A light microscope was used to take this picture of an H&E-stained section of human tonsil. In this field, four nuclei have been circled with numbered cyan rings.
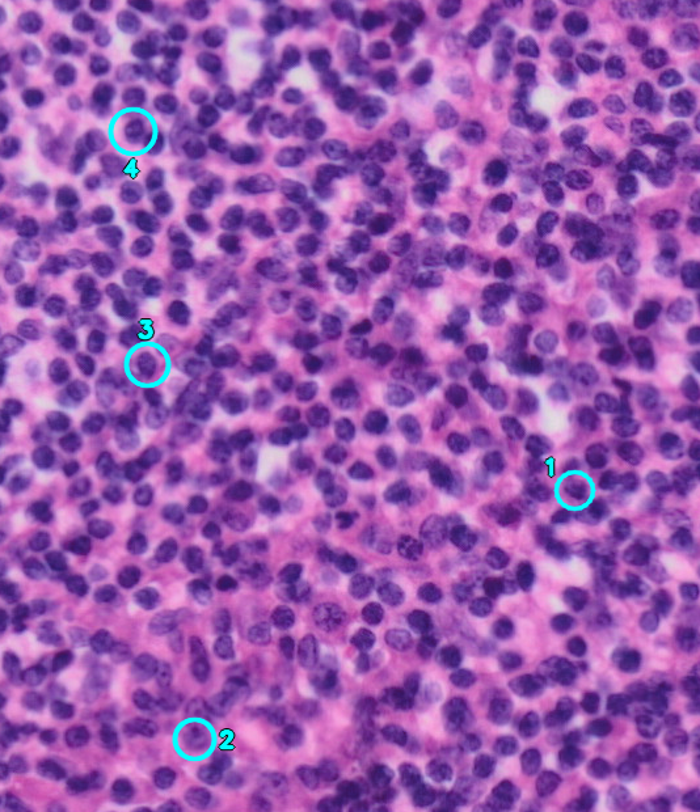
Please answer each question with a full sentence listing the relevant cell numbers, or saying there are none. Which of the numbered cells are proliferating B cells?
Not one numbered cell here is one of the proliferating B cells.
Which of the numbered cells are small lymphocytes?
In short, the numbered cells 1, 3 and 4 are small lymphocytes.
